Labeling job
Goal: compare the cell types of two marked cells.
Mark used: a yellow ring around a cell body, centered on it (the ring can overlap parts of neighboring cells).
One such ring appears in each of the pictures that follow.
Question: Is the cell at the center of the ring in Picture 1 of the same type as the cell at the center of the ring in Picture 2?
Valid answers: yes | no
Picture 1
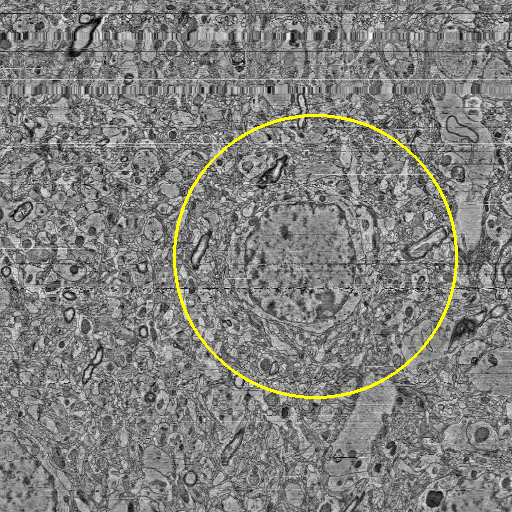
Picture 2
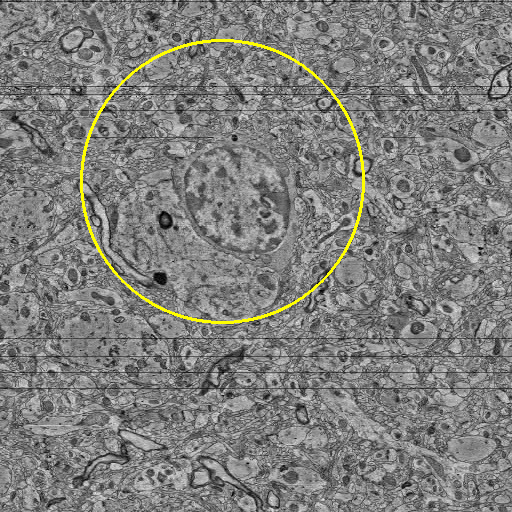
no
